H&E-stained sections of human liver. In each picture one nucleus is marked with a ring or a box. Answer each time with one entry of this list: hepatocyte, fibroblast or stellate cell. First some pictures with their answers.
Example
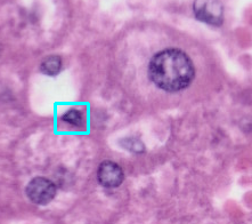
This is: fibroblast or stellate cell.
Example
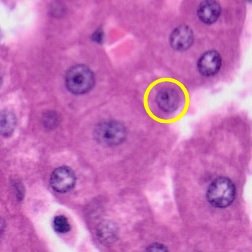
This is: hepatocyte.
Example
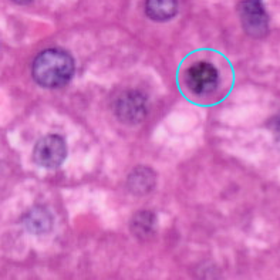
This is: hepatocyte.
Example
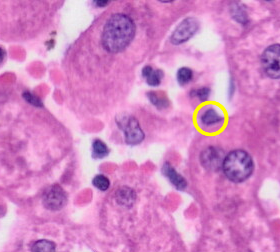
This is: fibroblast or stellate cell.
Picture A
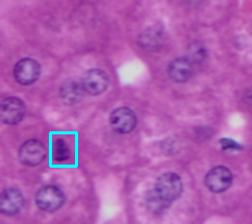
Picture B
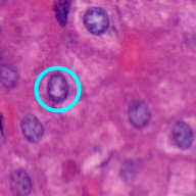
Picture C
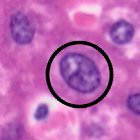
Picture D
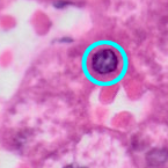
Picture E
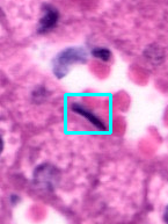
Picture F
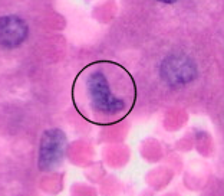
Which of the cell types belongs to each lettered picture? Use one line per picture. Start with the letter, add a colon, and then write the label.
A: fibroblast or stellate cell.
B: hepatocyte.
C: hepatocyte.
D: hepatocyte.
E: fibroblast or stellate cell.
F: fibroblast or stellate cell.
